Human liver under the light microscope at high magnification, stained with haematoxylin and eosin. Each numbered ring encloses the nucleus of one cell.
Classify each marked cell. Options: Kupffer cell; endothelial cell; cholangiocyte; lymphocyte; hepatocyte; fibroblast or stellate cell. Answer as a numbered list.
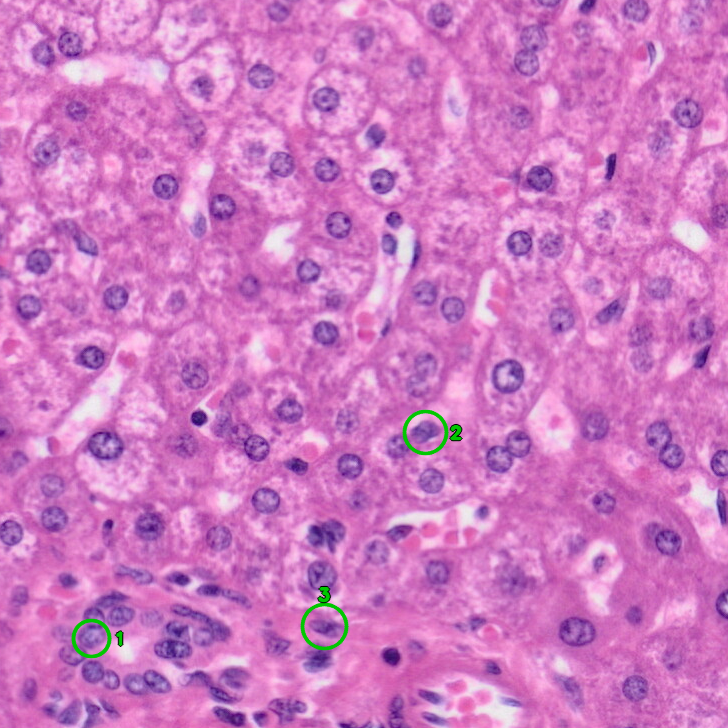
1. cholangiocyte
2. endothelial cell
3. fibroblast or stellate cell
